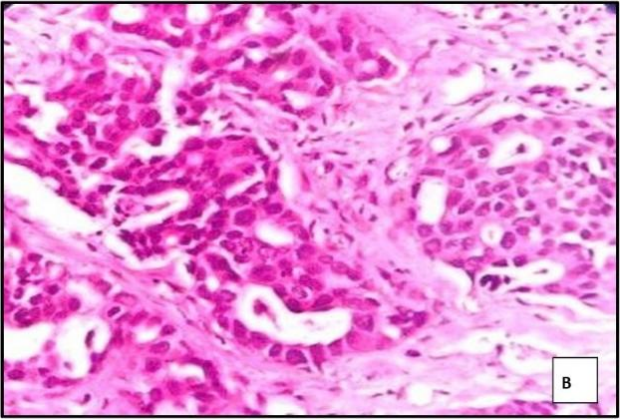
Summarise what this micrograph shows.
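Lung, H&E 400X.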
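Tumour cells are arranged in nests that enclose small gland-like lumens, forming an acinar pattern set in pale pink fibrous stroma. Elongated spindle-shaped stromal cells lie in the fibrous tissue between the nests.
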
